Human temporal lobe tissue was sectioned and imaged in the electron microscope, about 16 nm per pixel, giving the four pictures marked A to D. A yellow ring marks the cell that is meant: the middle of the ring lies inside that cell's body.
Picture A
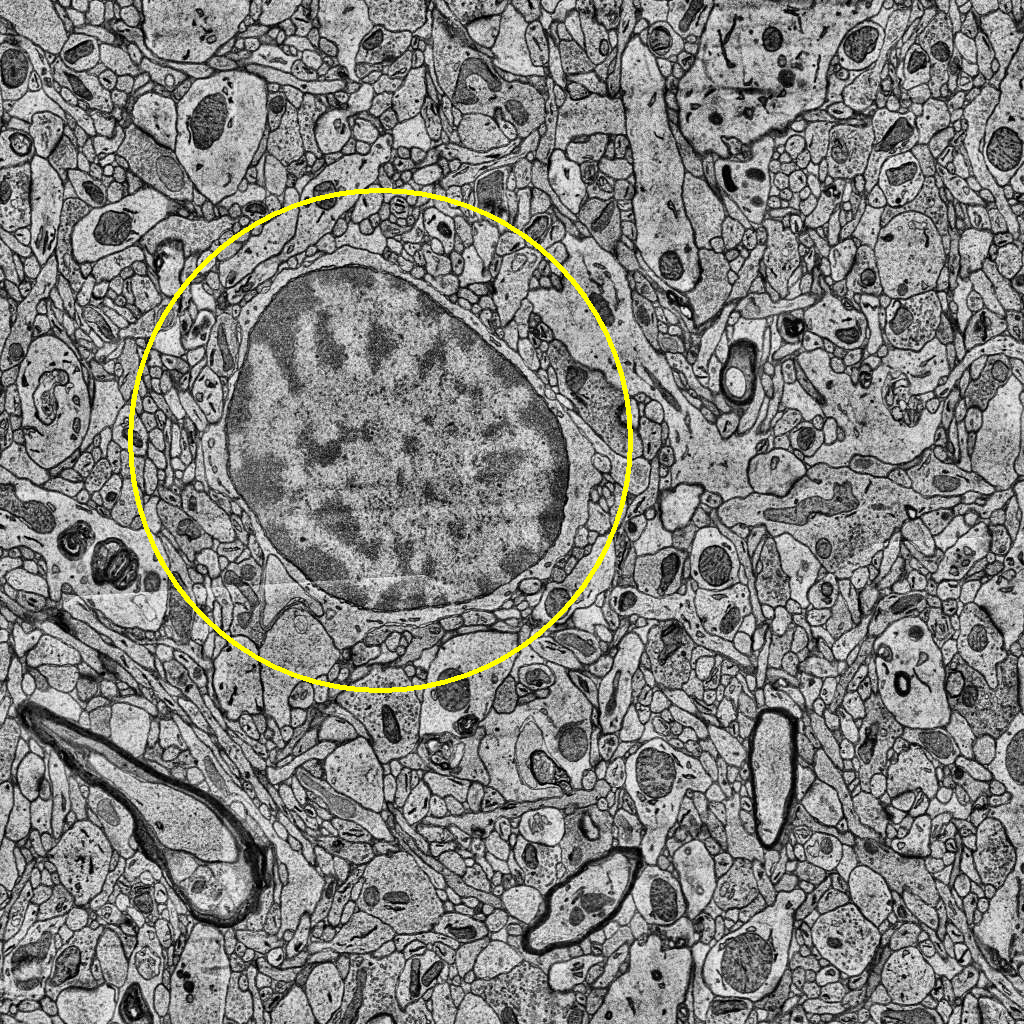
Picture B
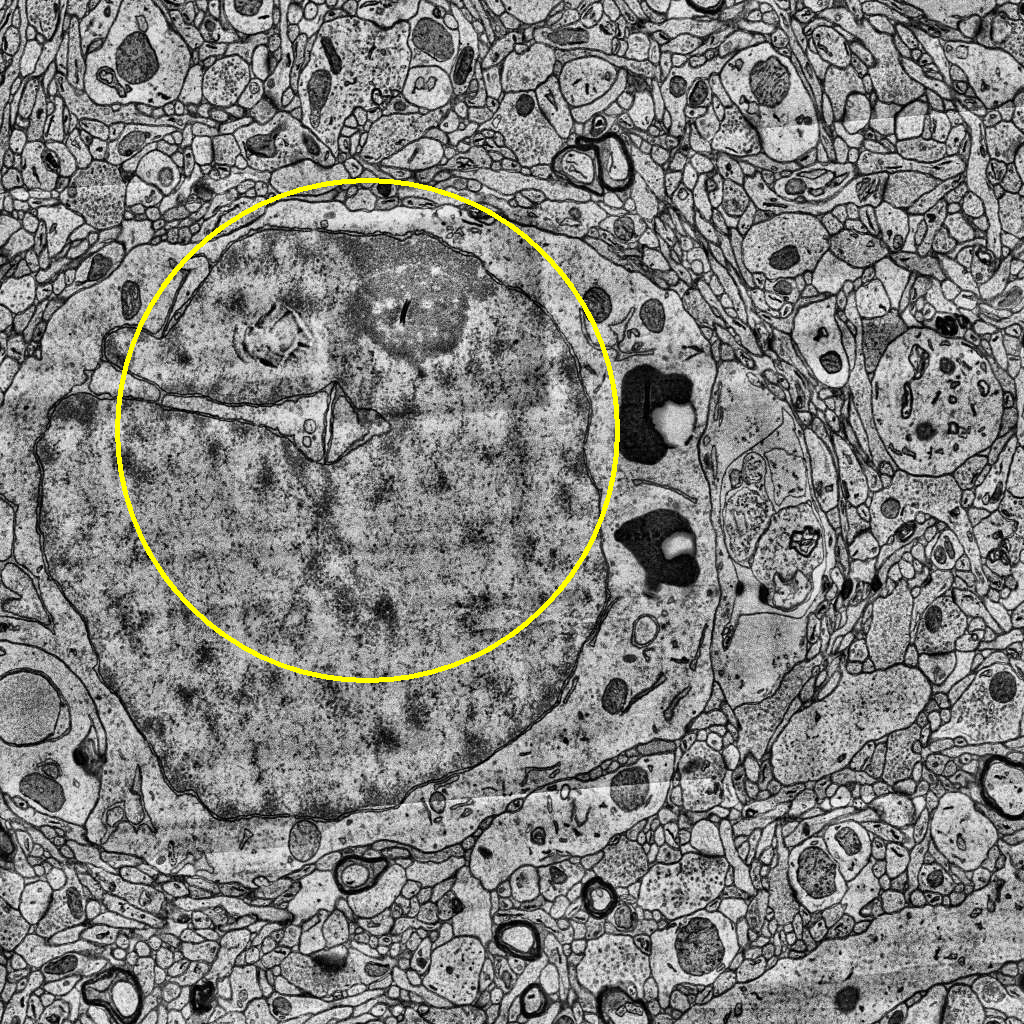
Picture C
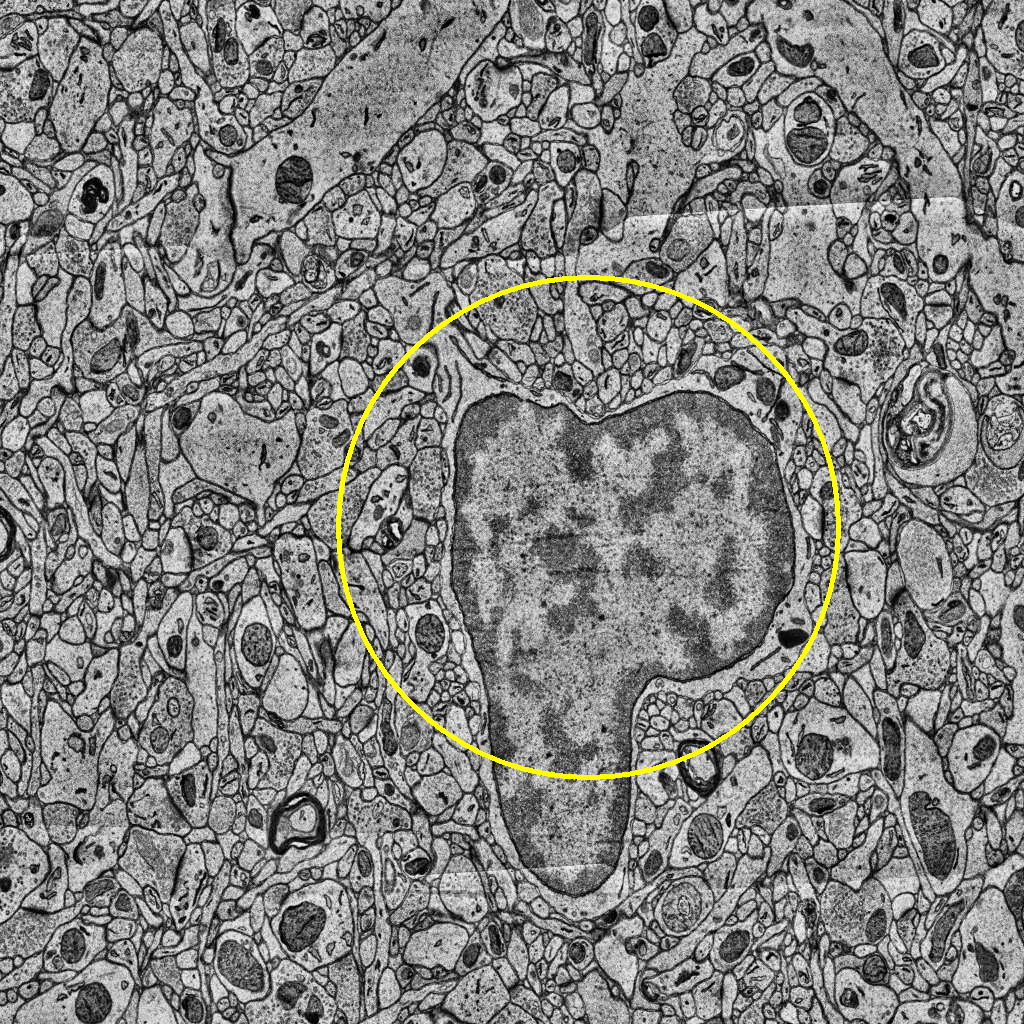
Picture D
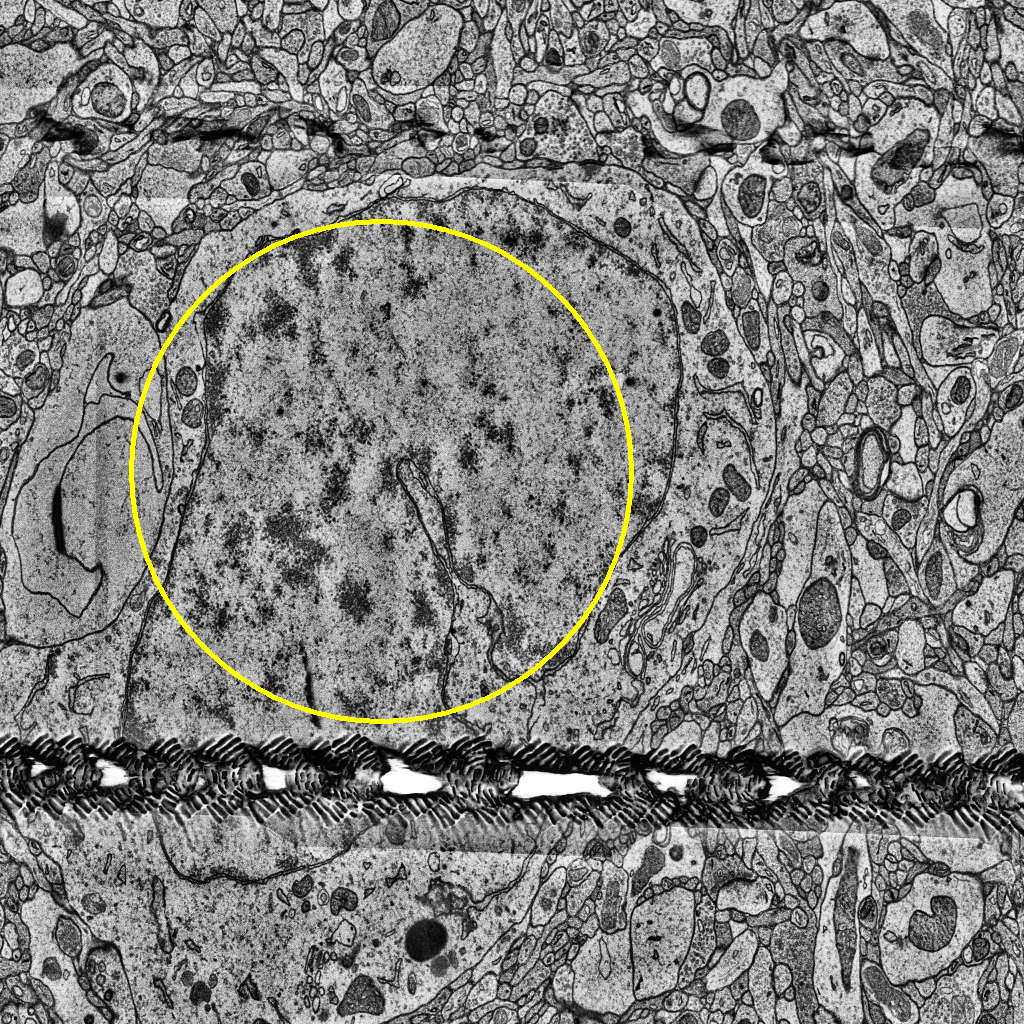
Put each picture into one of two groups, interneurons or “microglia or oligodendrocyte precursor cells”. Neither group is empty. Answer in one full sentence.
Pictures B and D show interneurons, while pictures A and C show “microglia or oligodendrocyte precursor cells”.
